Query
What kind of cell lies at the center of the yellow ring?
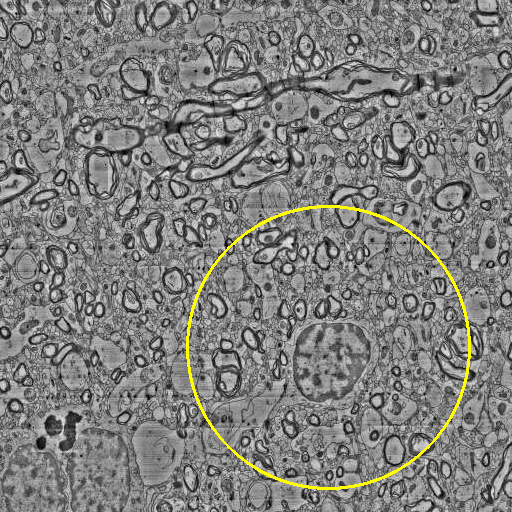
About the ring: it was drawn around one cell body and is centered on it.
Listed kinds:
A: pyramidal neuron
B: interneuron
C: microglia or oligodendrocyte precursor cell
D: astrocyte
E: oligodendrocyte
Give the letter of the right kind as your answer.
C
